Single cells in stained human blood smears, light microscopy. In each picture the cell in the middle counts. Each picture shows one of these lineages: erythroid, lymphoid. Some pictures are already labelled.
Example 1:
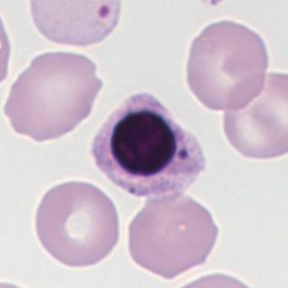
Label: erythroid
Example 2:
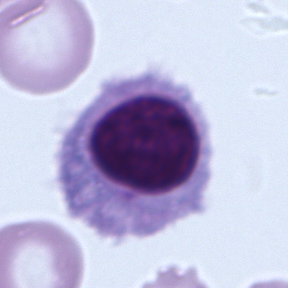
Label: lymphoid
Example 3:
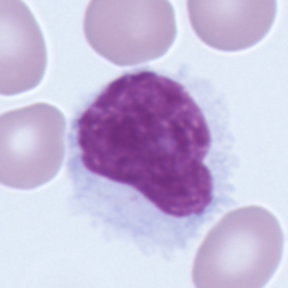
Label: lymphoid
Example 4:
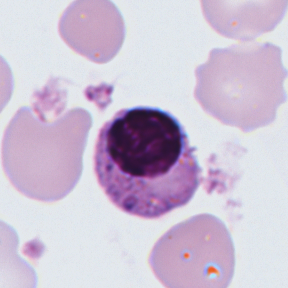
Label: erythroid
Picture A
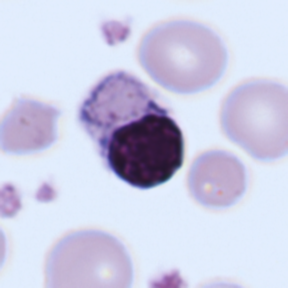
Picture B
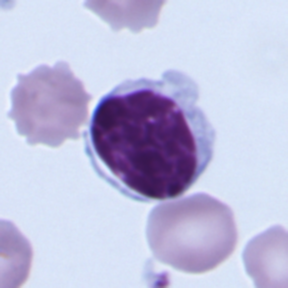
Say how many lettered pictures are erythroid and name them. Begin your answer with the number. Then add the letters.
1: A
